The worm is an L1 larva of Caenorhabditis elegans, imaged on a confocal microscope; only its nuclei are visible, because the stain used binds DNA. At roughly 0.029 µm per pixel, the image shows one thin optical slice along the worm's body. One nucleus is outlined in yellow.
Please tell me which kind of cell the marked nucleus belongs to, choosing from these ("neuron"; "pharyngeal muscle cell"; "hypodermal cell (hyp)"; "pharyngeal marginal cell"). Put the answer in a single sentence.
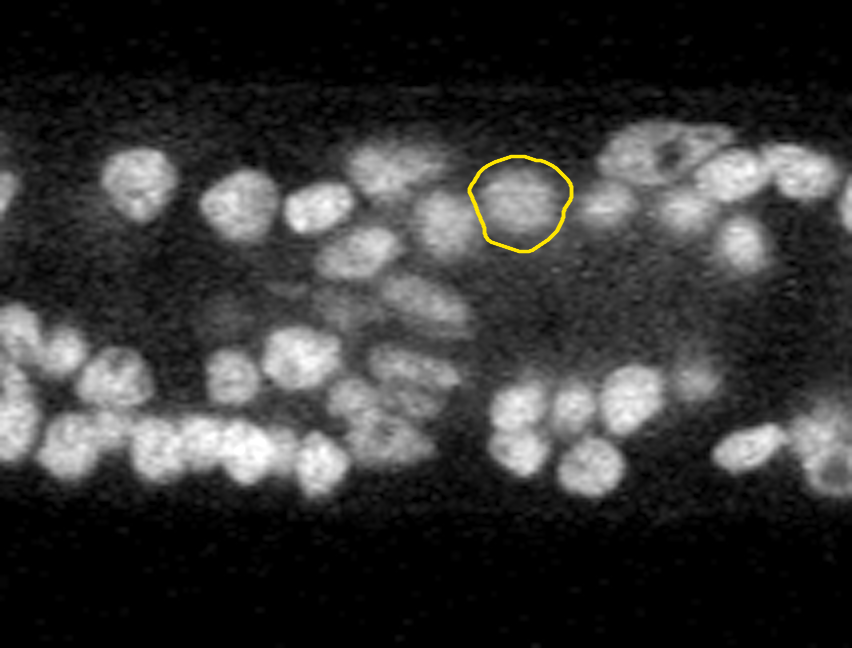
It is the nucleus of a neuron.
